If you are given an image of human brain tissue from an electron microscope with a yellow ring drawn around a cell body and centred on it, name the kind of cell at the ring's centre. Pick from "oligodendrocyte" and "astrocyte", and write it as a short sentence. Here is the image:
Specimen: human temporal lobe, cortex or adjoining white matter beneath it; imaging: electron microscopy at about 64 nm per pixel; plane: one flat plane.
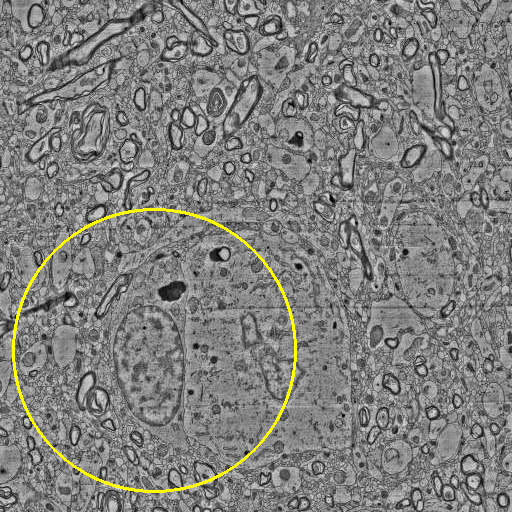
The cell at the ring's centre is an oligodendrocyte.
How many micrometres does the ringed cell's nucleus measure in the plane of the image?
Approximately 8 by 5 micrometers, which makes the nucleus clearly longer than it is wide in this plane.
